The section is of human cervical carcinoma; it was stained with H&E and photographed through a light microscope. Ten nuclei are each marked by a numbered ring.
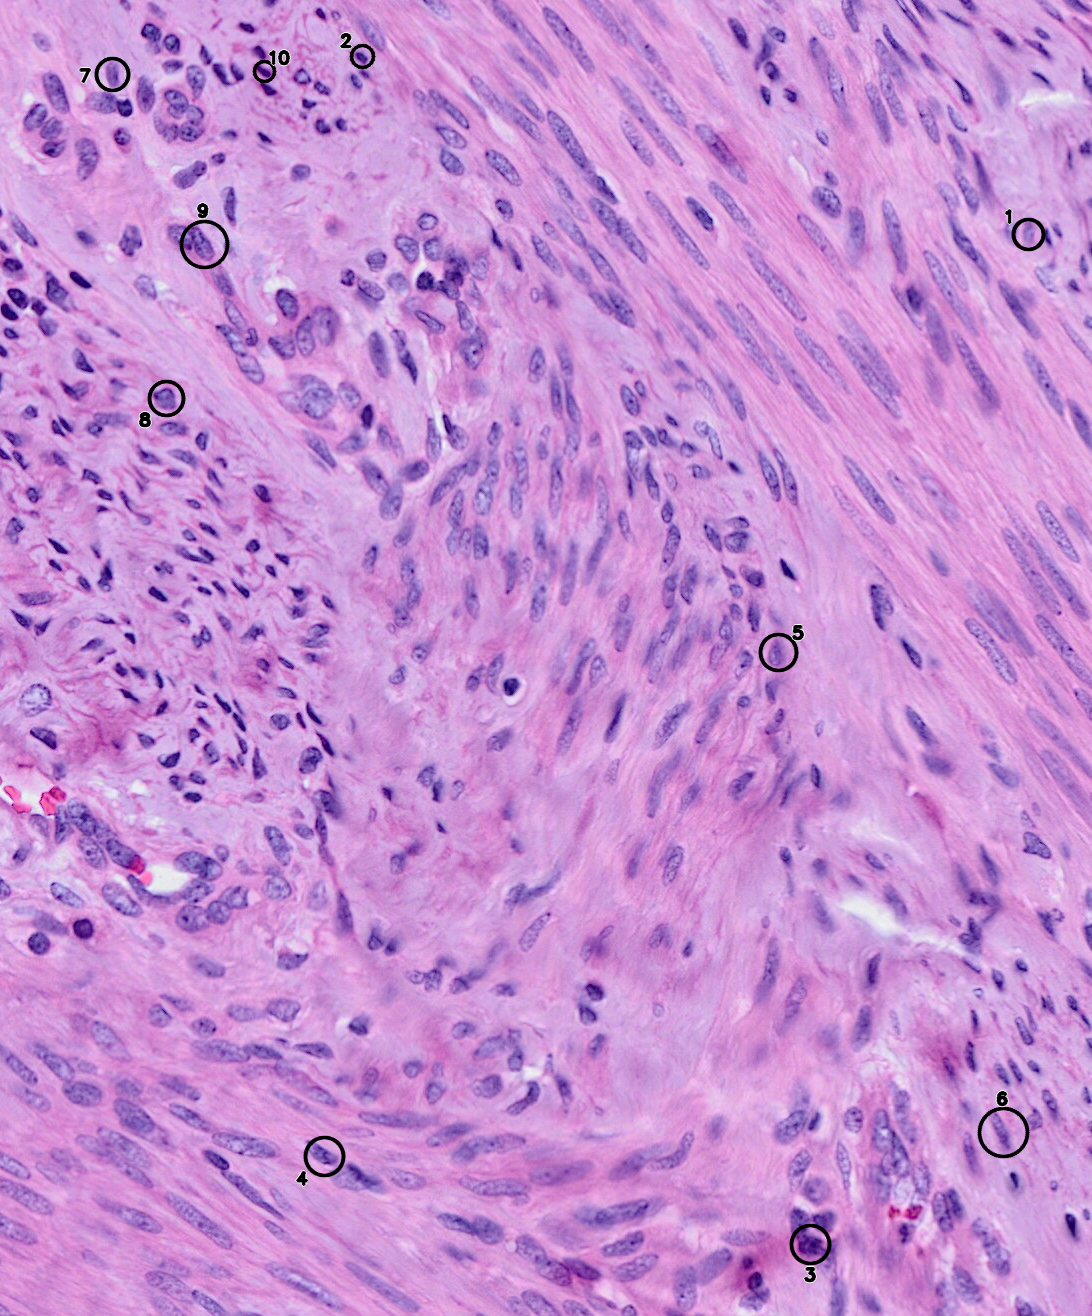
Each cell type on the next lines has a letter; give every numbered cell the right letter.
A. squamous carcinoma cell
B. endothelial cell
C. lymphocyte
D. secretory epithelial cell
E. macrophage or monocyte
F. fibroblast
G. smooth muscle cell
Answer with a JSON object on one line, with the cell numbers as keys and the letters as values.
{"1": "G", "2": "G", "3": "C", "4": "C", "5": "G", "6": "G", "7": "F", "8": "G", "9": "B", "10": "G"}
